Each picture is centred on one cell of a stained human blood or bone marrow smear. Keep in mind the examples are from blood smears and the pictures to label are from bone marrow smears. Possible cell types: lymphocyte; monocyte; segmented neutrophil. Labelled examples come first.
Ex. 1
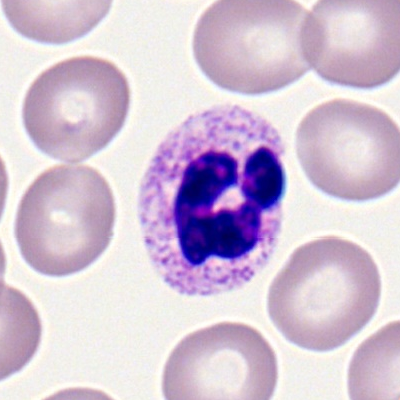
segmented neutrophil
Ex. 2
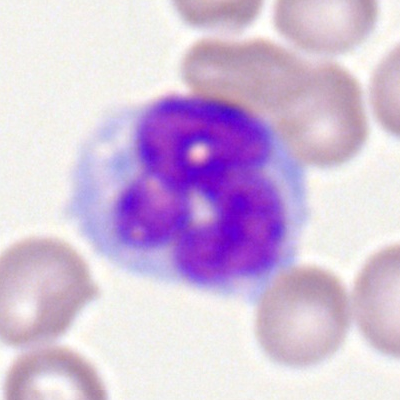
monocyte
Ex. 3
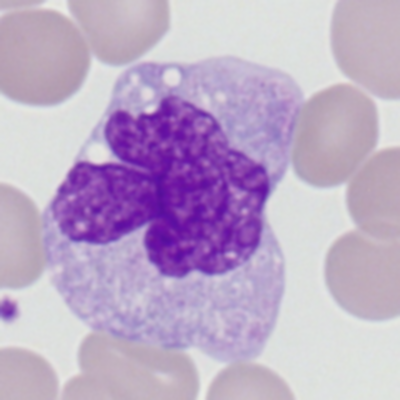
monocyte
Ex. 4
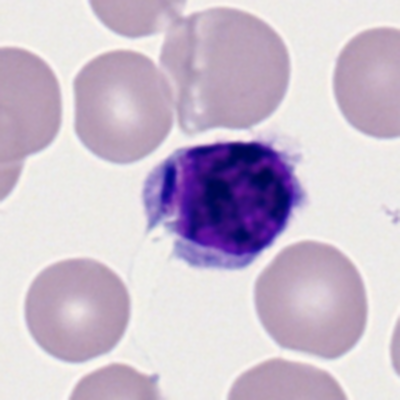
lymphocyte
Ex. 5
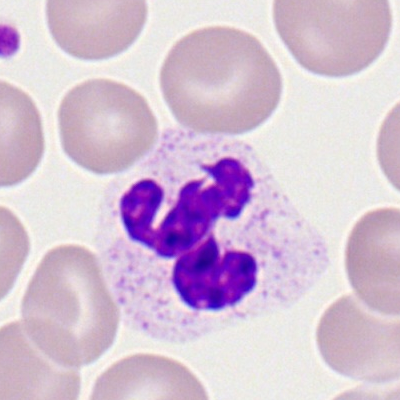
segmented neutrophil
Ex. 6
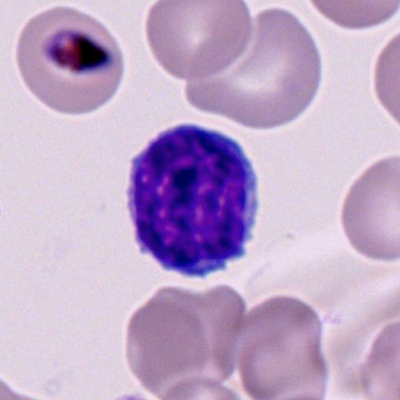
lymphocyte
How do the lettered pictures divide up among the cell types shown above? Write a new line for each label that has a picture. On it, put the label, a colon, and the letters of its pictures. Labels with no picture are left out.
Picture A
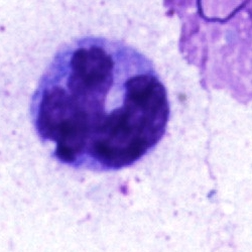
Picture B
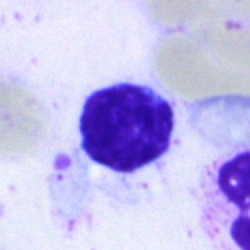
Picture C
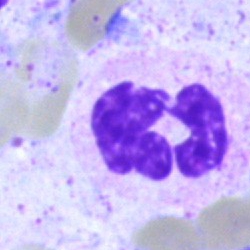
lymphocyte: B
monocyte: A
segmented neutrophil: C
